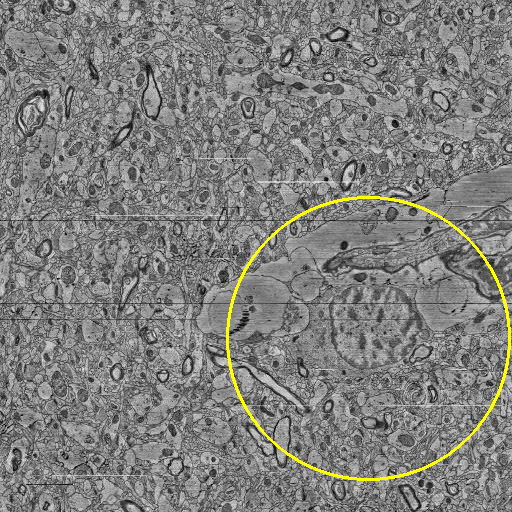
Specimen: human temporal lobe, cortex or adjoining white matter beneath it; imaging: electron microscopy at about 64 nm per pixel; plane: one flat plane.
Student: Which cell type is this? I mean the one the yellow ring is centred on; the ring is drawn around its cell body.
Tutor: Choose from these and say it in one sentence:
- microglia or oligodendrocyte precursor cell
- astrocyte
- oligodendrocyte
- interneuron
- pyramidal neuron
The cell the ring is centred on is an oligodendrocyte.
